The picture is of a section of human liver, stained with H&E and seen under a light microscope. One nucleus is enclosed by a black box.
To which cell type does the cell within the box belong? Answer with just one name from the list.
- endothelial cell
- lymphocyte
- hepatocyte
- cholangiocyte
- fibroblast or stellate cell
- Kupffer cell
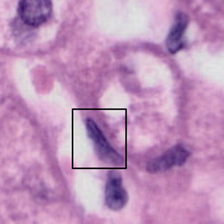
Kupffer cell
